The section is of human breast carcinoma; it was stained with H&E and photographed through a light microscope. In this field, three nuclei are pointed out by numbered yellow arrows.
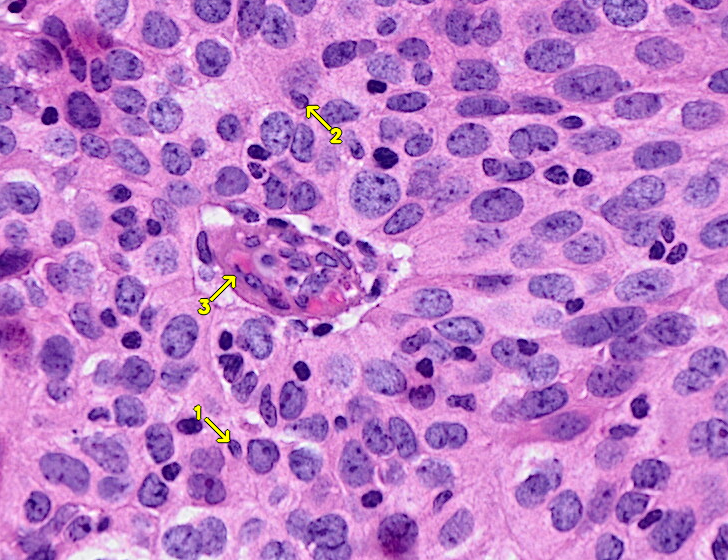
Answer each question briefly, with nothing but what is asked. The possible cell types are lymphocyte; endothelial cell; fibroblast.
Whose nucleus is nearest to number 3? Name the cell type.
endothelial cell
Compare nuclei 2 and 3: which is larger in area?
2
